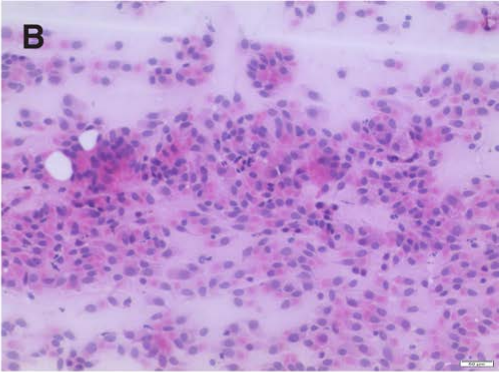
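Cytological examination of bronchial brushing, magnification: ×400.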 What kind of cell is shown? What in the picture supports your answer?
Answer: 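A crowded sheet of cells with oval to round uniform nuclei. The cells have pink cytoplasm and lie close together in groups.
Answer: epithelial cells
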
